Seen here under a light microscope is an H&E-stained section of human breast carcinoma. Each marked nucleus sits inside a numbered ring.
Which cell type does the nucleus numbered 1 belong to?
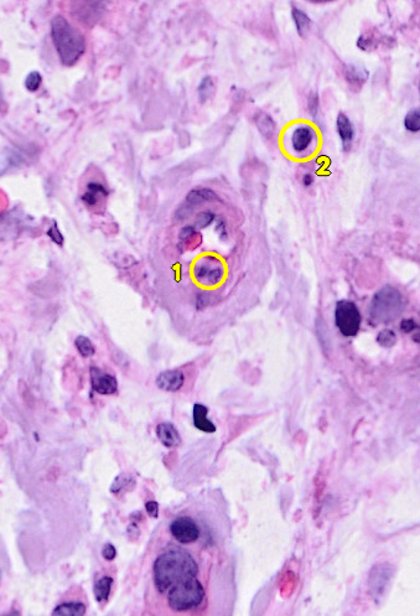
endothelial cell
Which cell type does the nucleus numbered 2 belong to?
lymphocyte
